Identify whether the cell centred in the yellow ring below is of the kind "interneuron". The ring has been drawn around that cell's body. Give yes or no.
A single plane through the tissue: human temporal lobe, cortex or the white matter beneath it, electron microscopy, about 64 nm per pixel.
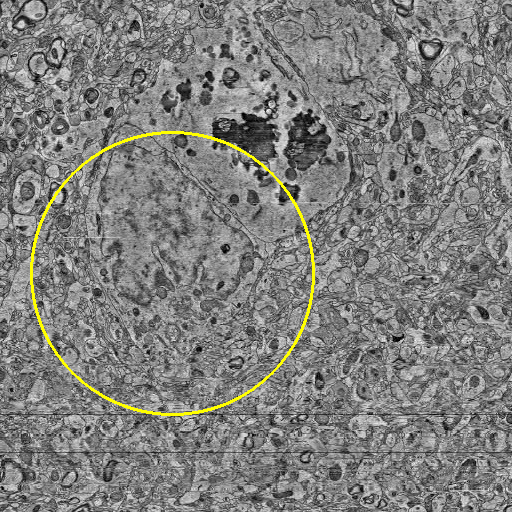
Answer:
yes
